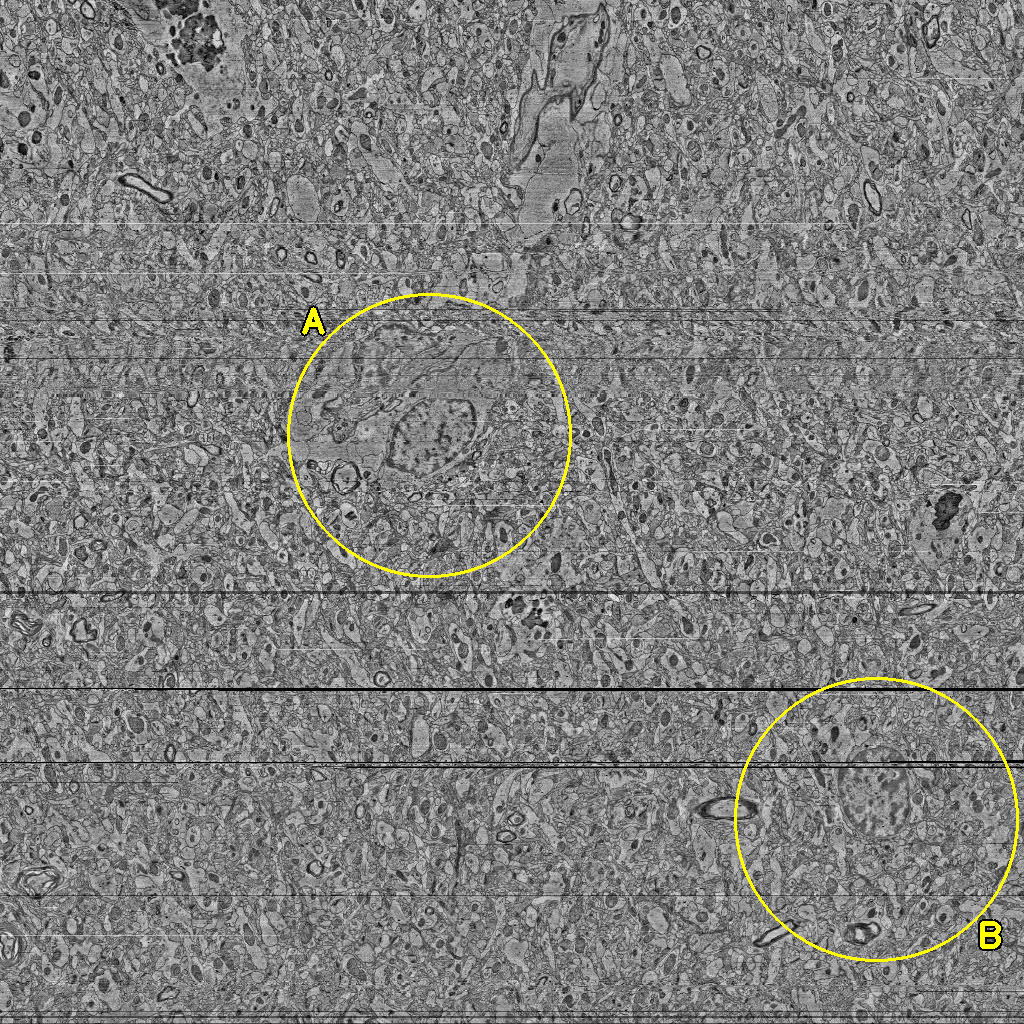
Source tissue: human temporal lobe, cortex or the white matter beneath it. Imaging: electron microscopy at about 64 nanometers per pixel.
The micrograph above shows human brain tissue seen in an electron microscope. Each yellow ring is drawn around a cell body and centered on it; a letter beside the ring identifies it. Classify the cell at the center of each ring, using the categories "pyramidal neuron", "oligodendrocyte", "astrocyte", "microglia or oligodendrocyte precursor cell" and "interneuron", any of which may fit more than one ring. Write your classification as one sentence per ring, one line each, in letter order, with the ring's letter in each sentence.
Ring A is centered on a microglial cell or oligodendrocyte precursor cell.
Ring B is centered on an oligodendrocyte.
